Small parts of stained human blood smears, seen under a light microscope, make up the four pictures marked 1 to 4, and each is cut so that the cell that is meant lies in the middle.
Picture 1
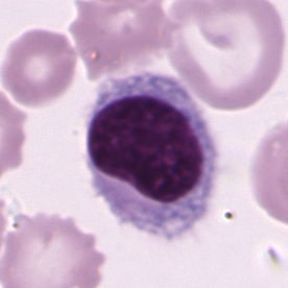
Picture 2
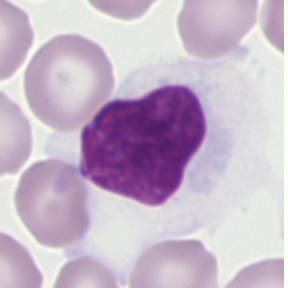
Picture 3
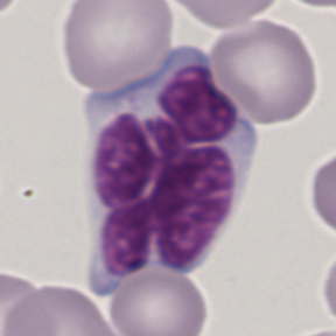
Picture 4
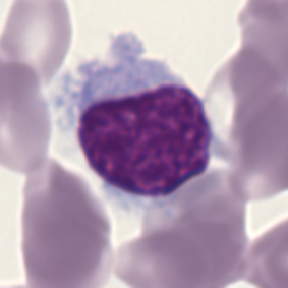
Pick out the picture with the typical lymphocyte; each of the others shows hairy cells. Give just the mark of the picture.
3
